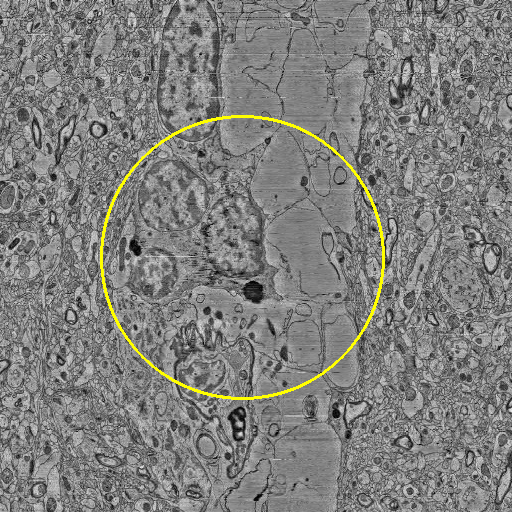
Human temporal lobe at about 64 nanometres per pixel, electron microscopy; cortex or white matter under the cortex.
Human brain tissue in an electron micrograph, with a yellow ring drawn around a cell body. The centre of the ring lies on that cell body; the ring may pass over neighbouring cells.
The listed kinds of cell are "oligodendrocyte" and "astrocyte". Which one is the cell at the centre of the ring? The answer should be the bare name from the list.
oligodendrocyte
